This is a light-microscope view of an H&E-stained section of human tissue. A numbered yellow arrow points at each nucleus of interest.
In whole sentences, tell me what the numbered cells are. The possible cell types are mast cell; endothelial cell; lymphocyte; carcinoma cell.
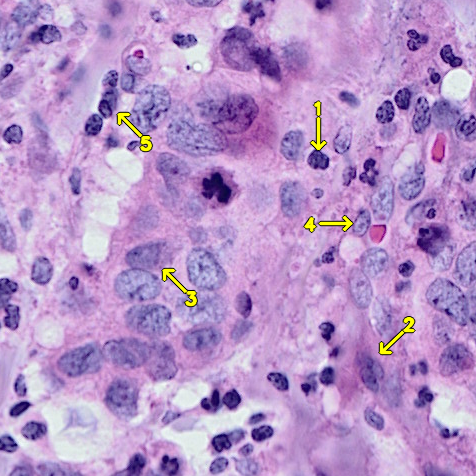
Cell 1 is a lymphocyte, cell 2 is an endothelial cell, cell 3 is a carcinoma cell, cell 4 is an endothelial cell and cell 5 is a lymphocyte.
